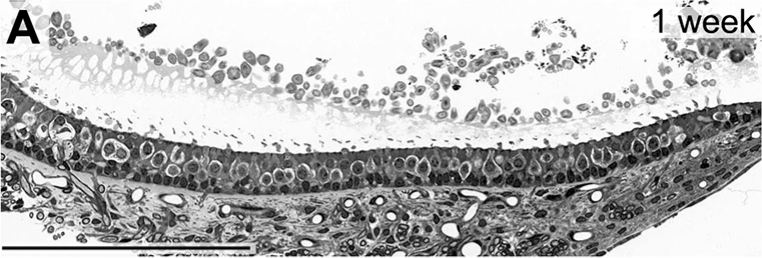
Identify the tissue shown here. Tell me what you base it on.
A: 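A dense layer of packed cells with several rows of nuclei lies on looser connective tissue. Hair bundles project from the free surface of the layer. The answer: sensory epithelium.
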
